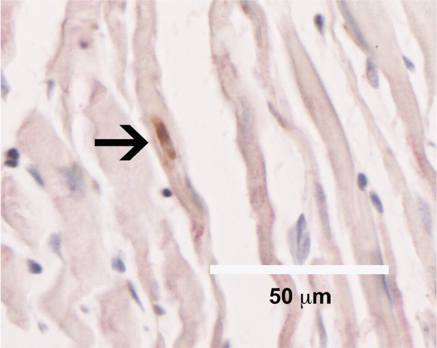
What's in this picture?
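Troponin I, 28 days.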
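Elongated, pale pink muscle fibers of heart tissue run in loose parallel bundles with clear gaps between them. Scattered elongated blue nuclei lie along the fibers. One nucleus within a fiber is stained brown rather than blue. This brown nucleus marks a stained cell among the muscle fibers.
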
